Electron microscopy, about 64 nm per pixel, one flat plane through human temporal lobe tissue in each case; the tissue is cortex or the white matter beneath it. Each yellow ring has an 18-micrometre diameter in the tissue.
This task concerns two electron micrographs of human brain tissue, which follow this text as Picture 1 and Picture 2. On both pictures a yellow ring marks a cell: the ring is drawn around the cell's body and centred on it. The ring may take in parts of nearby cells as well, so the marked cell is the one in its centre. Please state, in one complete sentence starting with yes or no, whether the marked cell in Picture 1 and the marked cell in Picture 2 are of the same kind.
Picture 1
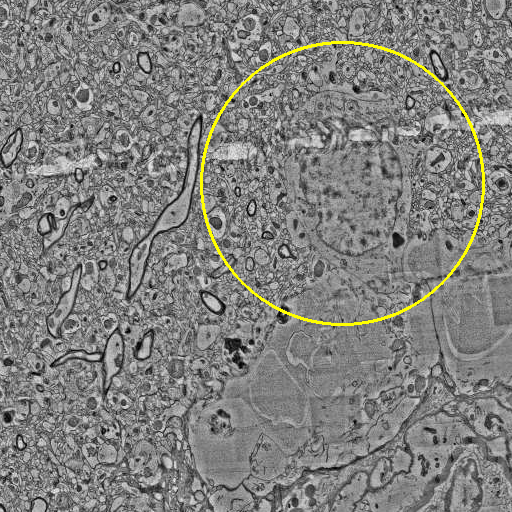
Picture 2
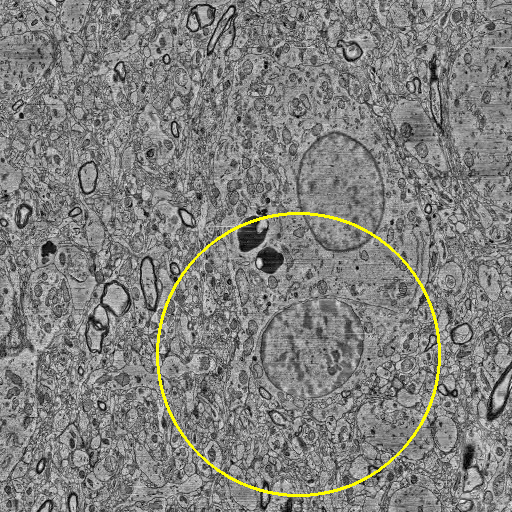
No, the marked cells in the two pictures are of two kinds.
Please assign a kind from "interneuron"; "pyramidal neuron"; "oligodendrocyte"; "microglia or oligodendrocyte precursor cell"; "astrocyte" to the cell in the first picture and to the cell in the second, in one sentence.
In the first picture we have an interneuron, and in the second, an oligodendrocyte.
